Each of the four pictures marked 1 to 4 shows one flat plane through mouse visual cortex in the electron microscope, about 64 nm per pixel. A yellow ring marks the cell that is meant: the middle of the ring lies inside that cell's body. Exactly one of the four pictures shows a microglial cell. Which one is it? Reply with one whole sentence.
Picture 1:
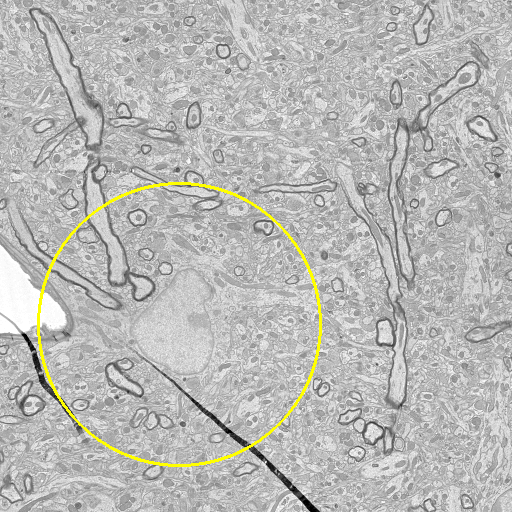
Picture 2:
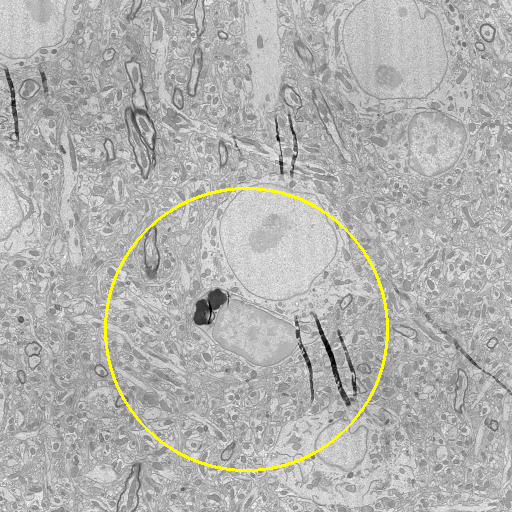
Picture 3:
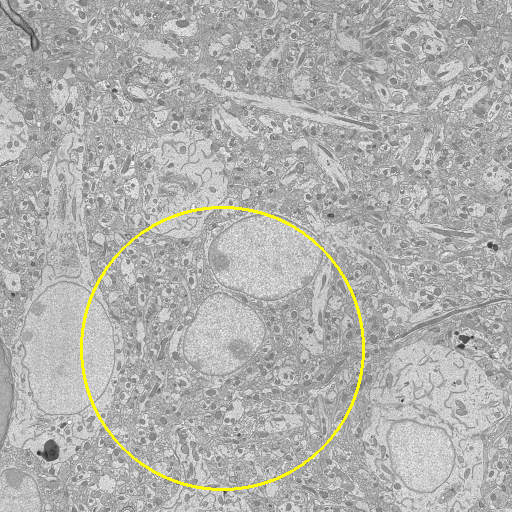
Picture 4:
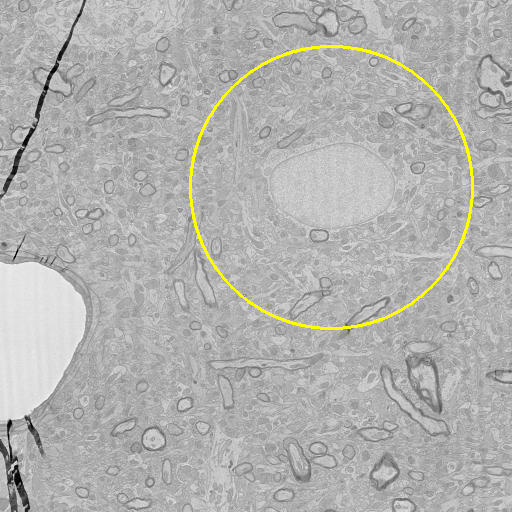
Picture 2 shows the microglial cell.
